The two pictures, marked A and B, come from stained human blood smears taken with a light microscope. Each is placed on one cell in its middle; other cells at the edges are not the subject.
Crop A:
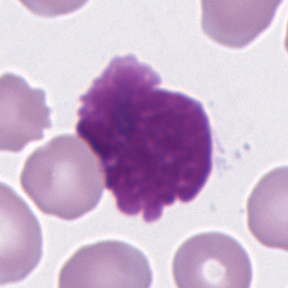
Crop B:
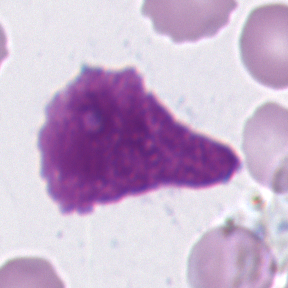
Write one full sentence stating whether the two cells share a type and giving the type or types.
Yes, smudge cells are the cells in the middle of both crops.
